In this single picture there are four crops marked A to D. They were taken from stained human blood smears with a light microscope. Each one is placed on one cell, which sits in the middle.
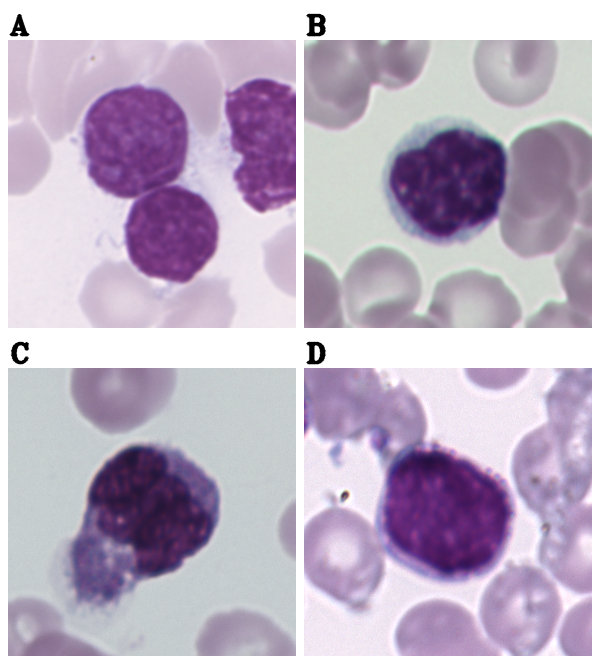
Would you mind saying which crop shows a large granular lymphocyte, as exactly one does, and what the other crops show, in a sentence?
In crop D, a large granular lymphocyte is the cell shown, while crop A is a myeloblast, crop B is a typical lymphocyte and crop C is a monocyte.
